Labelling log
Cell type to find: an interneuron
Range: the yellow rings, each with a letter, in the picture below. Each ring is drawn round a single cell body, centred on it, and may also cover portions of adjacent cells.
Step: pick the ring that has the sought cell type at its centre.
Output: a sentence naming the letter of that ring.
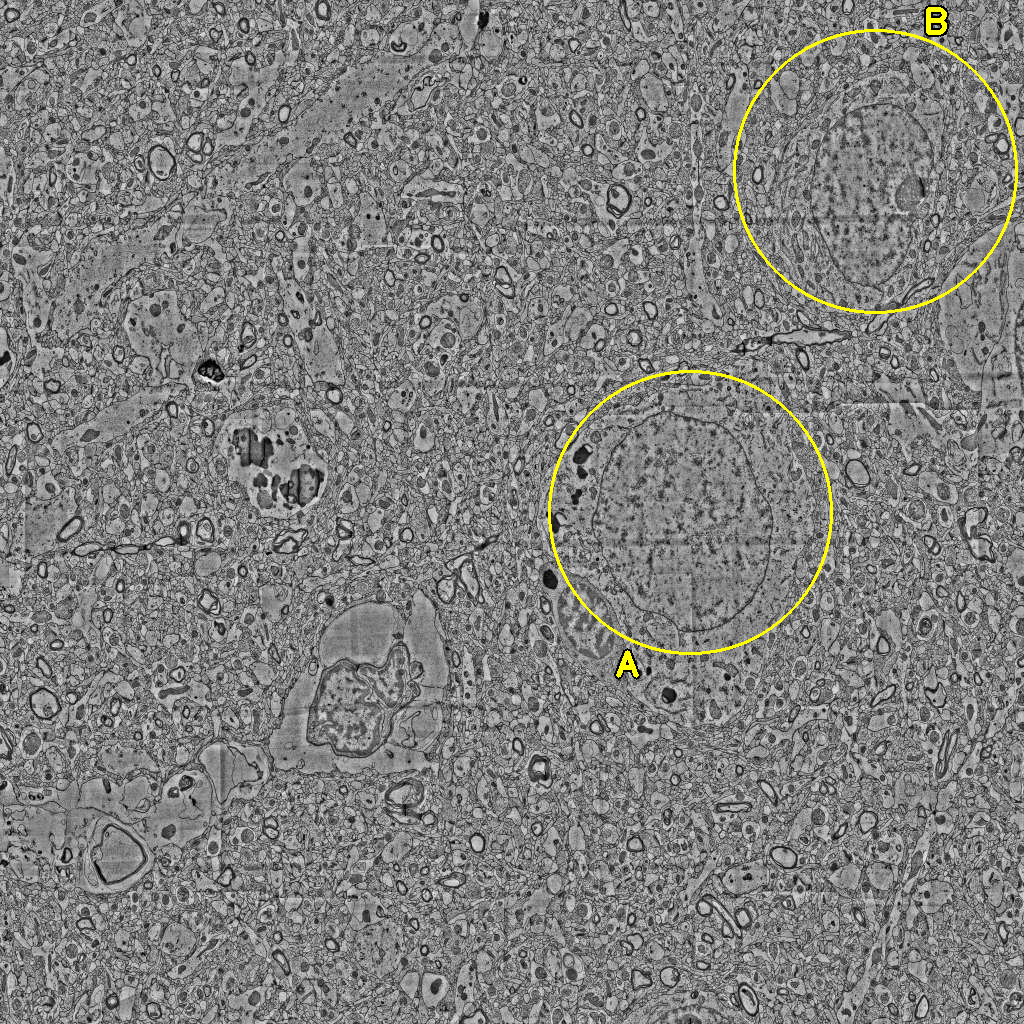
Ring B is the one with the cell asked for at its centre.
